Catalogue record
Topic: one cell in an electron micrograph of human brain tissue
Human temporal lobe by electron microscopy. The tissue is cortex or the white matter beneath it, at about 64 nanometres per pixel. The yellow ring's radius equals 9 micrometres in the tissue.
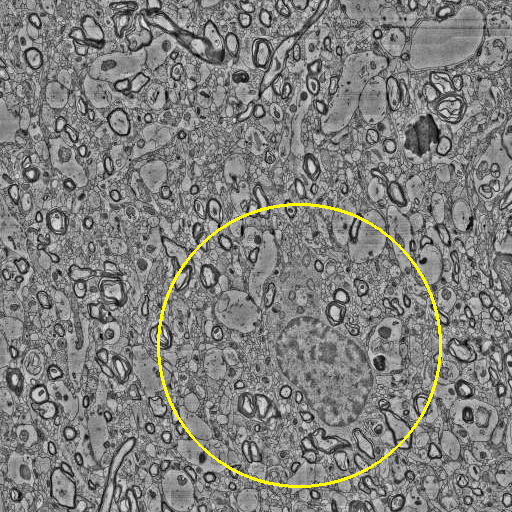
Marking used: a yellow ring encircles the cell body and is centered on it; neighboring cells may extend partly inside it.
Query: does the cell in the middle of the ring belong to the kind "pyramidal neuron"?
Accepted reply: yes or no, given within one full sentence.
No, the cell centered in the ring in the picture is of another kind.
